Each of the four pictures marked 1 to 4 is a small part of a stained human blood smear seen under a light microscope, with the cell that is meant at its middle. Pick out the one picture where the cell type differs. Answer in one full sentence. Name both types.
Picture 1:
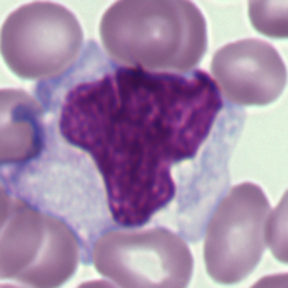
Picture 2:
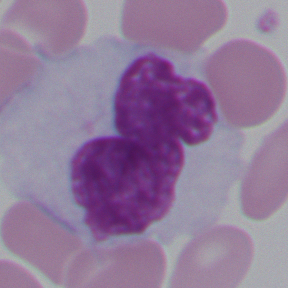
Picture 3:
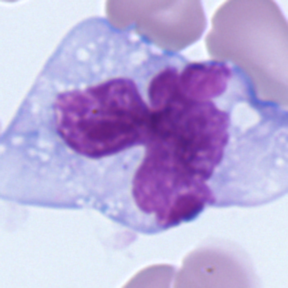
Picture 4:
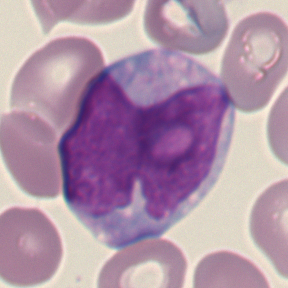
Picture 4 is the odd one out: it shows an atypical promyelocyte, while the others show monocytes.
